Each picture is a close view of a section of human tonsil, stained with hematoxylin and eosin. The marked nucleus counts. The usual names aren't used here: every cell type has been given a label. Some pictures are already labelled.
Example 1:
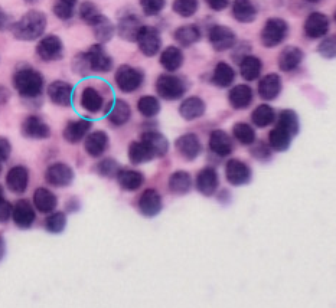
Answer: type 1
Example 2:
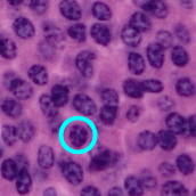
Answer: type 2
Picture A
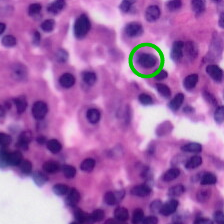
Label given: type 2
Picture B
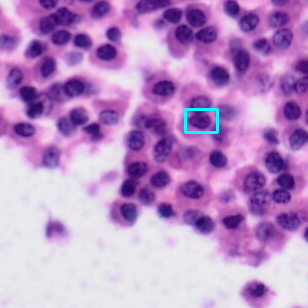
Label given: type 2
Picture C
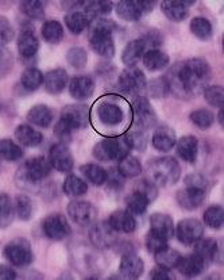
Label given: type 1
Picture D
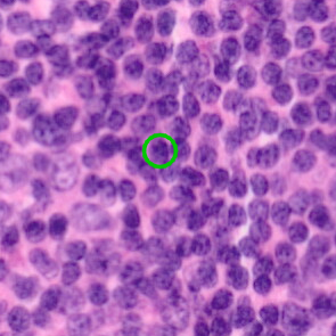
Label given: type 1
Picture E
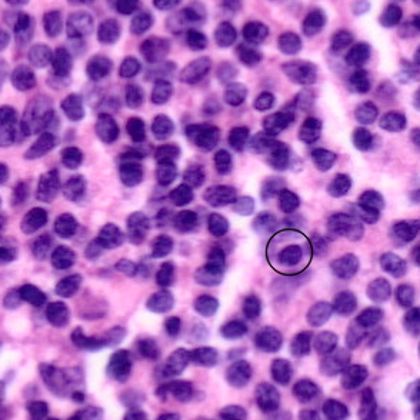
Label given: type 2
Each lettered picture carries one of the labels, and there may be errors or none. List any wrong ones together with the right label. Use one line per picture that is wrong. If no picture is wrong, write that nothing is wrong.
Wrong: E (type 2); correct: type 1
